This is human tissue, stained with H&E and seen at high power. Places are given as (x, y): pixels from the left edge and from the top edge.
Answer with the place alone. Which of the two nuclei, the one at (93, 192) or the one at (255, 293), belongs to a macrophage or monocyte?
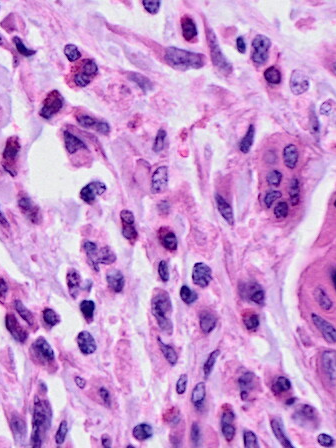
(255, 293)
